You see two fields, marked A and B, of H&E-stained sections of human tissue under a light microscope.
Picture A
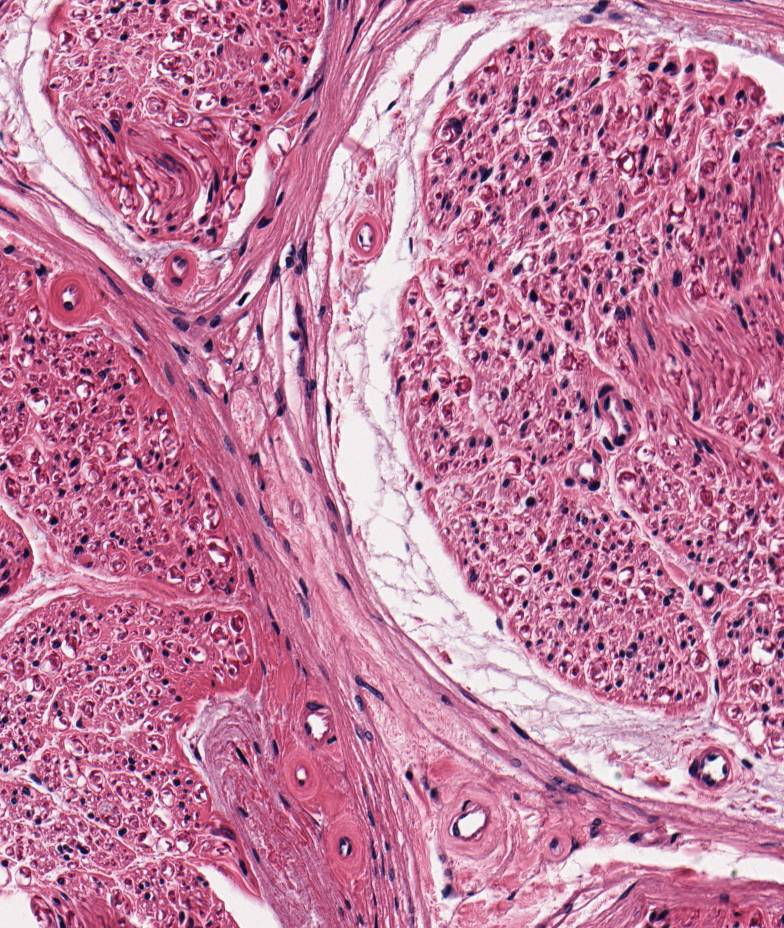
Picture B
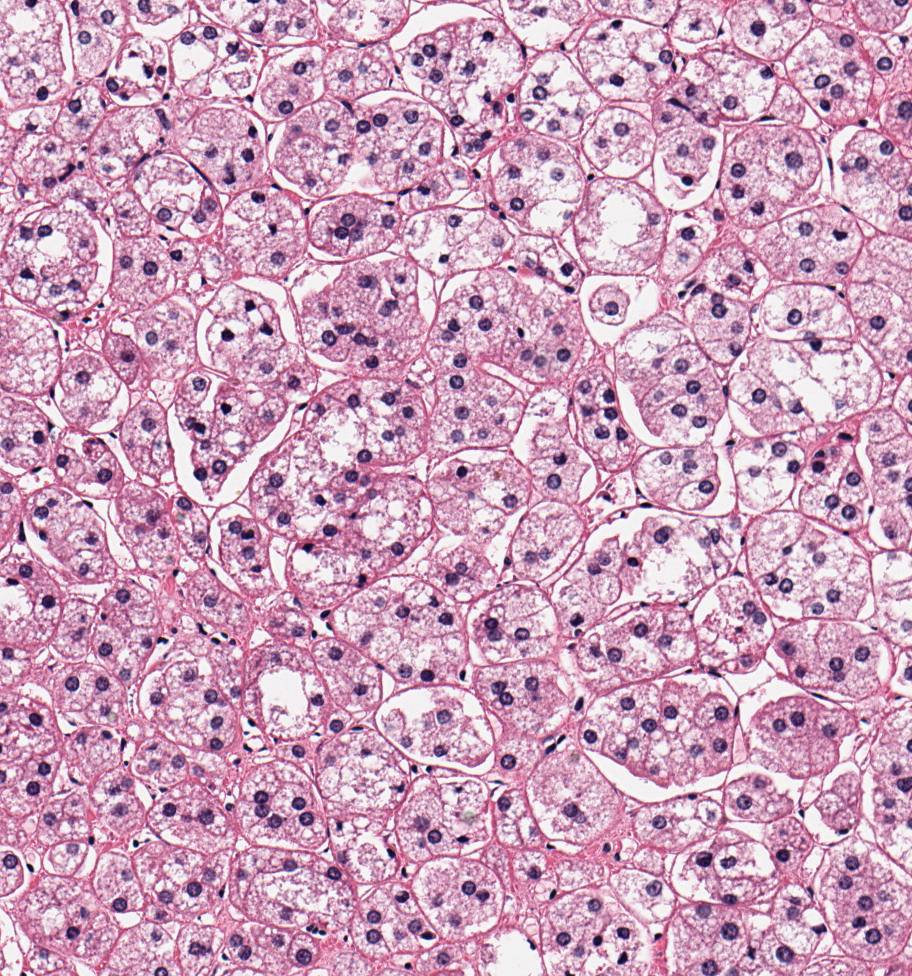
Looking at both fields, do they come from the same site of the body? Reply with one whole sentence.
No: picture A comes from the tibial nerve, but picture B comes from the adrenal gland.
